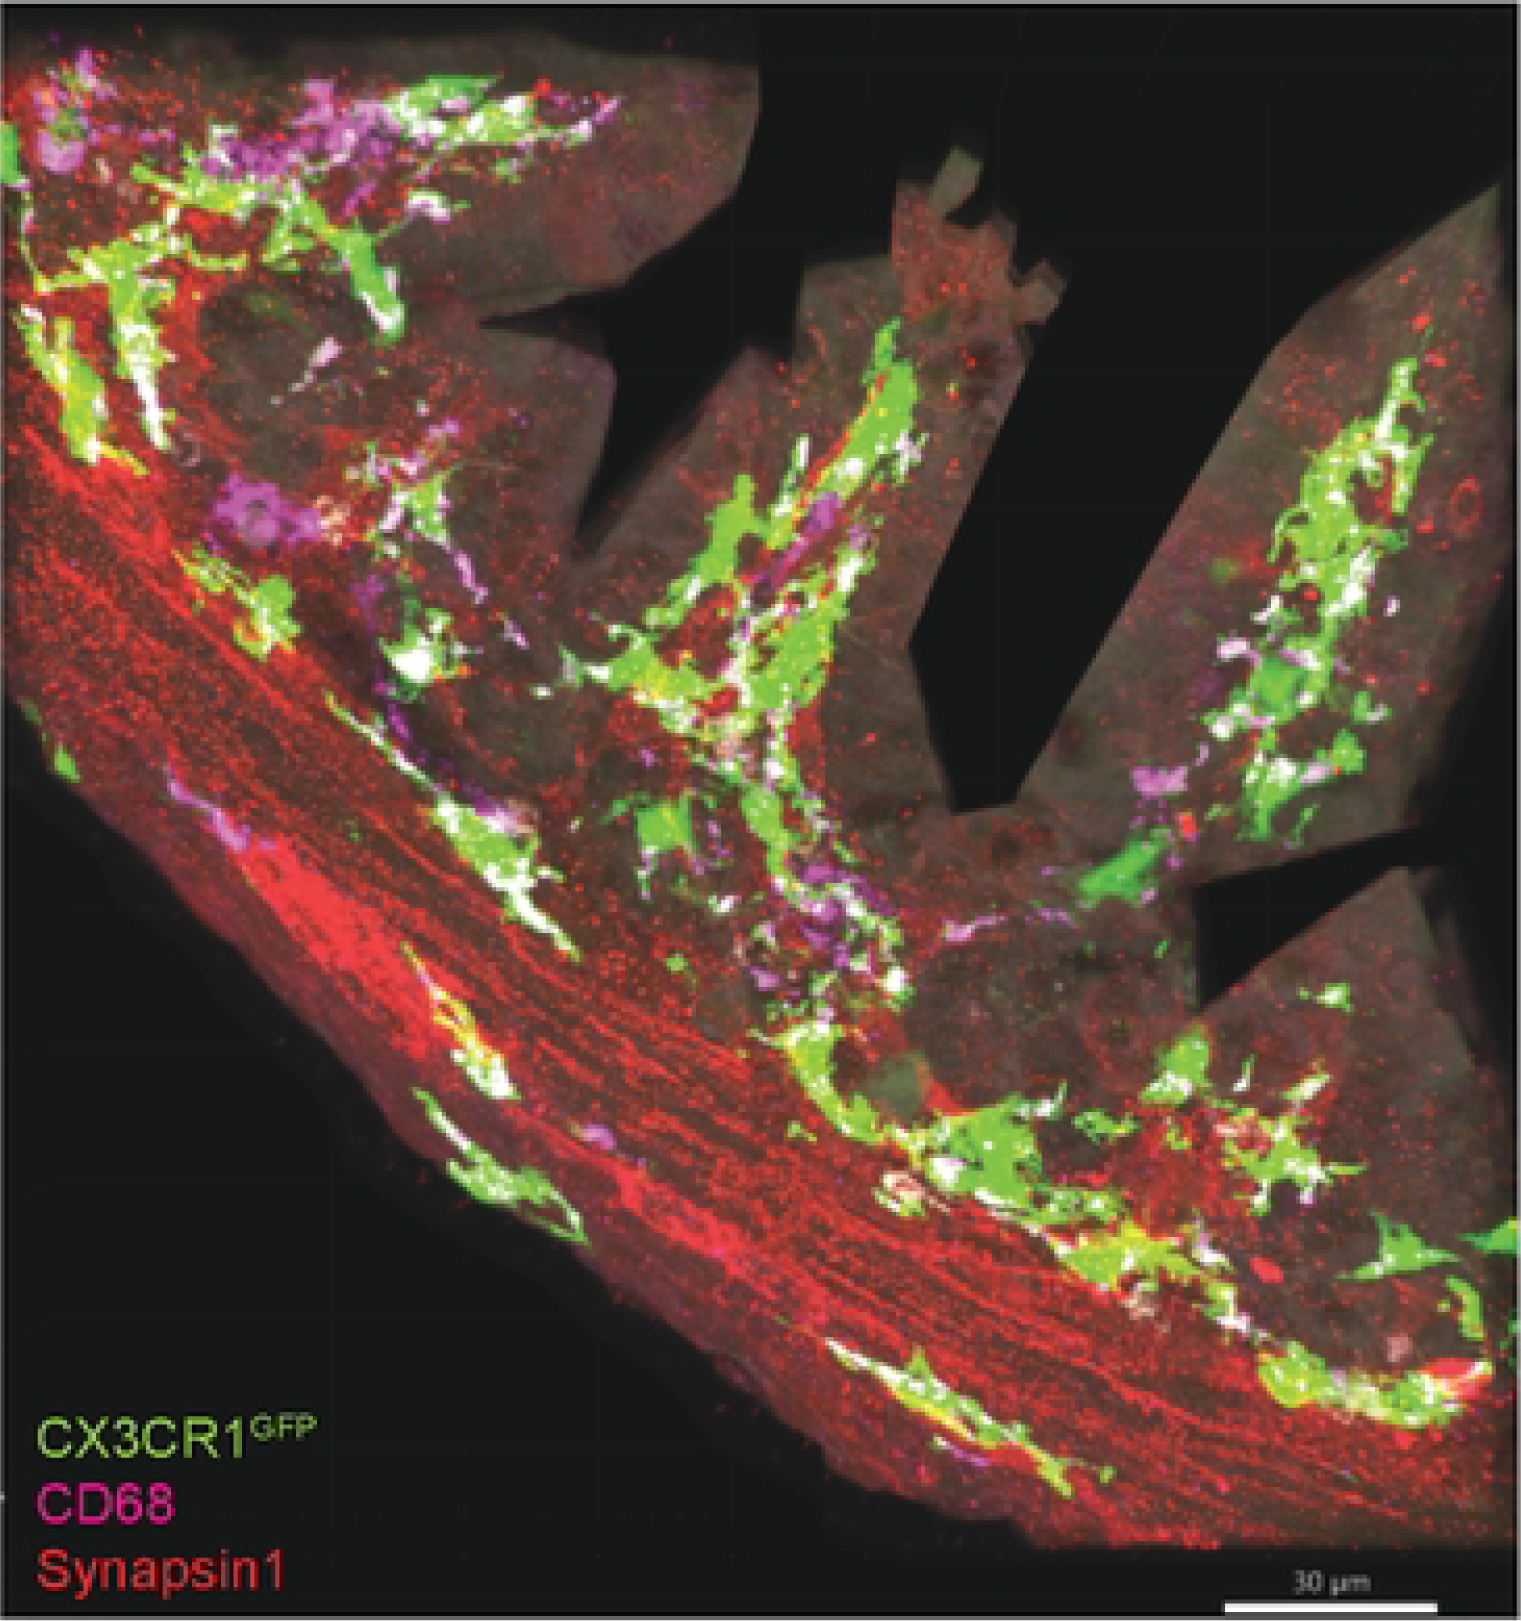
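Magenta puncta lie within and beside the green cells, and where the two colours overlap they appear white. Red punctate and fibrous labelling runs through the tissue, and along the lower left edge it forms a dense band of parallel fibres. Dark spaces separate finger-like projections of tissue in the upper right.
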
